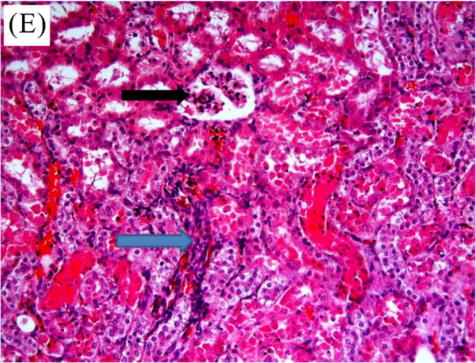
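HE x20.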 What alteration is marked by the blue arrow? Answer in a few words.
Mononuclear cell infiltration.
